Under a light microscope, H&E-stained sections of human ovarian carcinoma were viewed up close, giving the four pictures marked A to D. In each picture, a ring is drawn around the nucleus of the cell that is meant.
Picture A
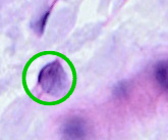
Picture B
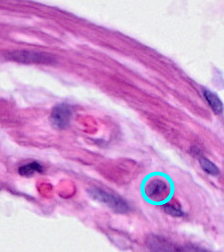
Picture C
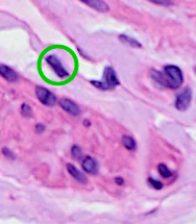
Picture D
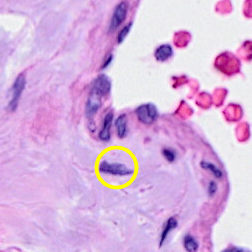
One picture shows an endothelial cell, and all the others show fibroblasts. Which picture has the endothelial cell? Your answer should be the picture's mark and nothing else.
B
